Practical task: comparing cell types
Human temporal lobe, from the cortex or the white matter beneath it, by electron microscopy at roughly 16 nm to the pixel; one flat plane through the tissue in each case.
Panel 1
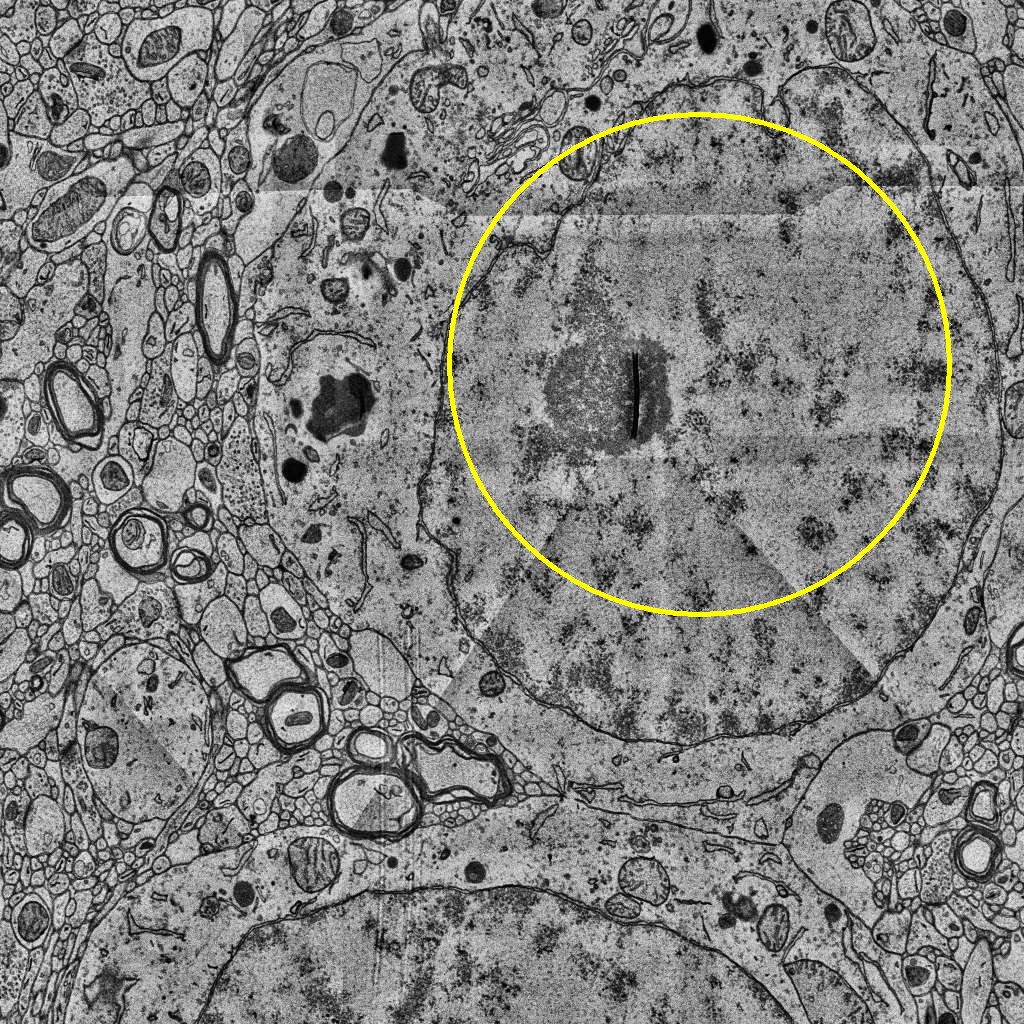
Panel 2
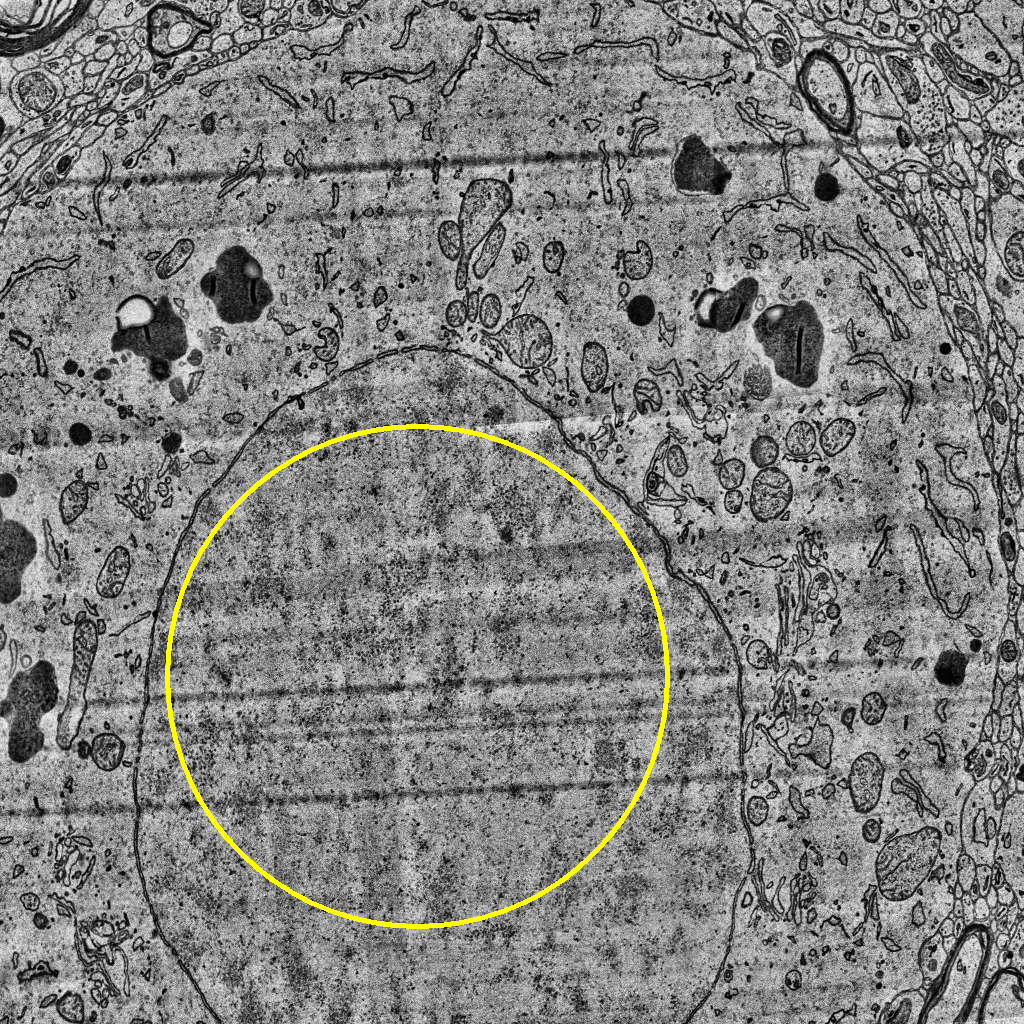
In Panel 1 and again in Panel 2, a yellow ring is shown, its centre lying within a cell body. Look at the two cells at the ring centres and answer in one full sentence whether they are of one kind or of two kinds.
The two cells sitting at the ring centres of Panels 1 and 2 are of one kind.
